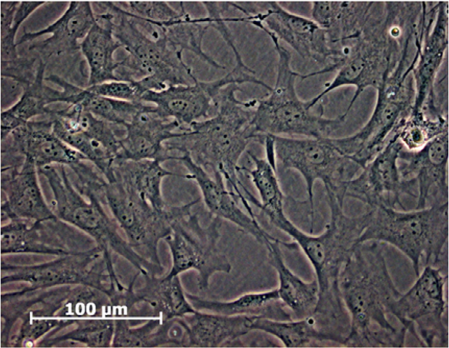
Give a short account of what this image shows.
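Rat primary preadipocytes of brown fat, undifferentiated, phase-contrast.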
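Oval nuclei lie in thin, pale cytoplasm, and the cells overlap with their long axes loosely aligned. Only a few small dark granules are scattered in the cytoplasm; no cell is filled with droplets.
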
